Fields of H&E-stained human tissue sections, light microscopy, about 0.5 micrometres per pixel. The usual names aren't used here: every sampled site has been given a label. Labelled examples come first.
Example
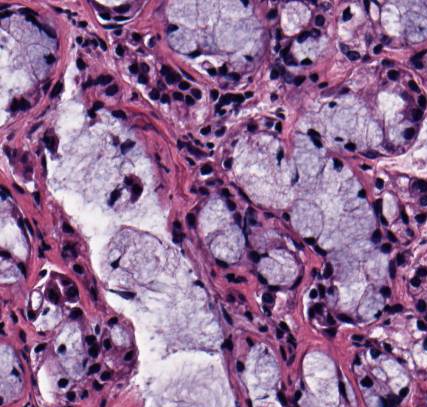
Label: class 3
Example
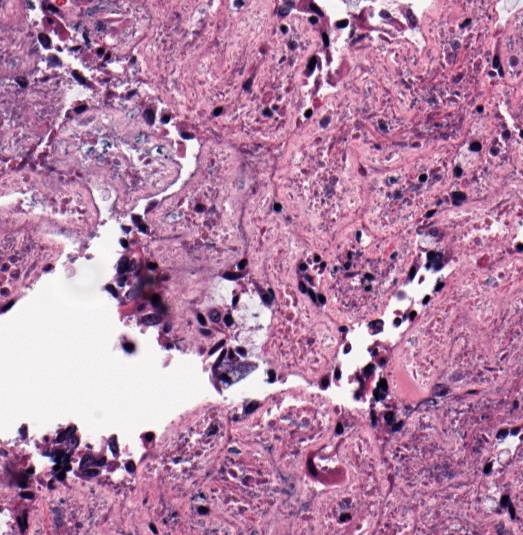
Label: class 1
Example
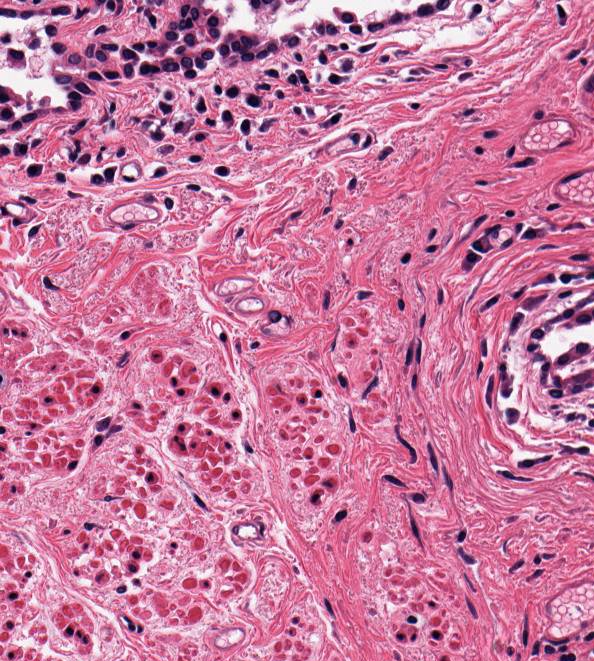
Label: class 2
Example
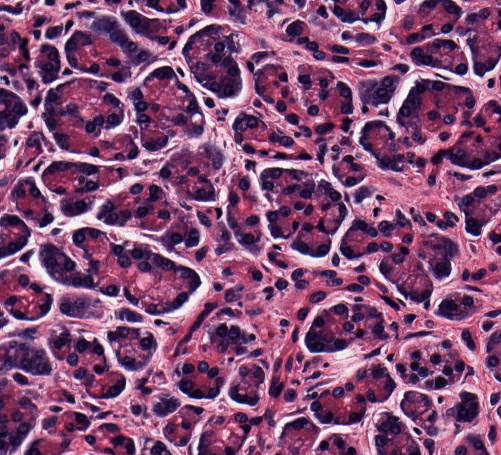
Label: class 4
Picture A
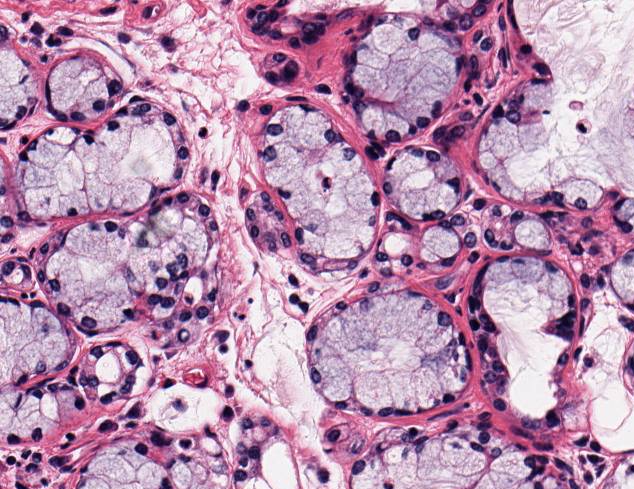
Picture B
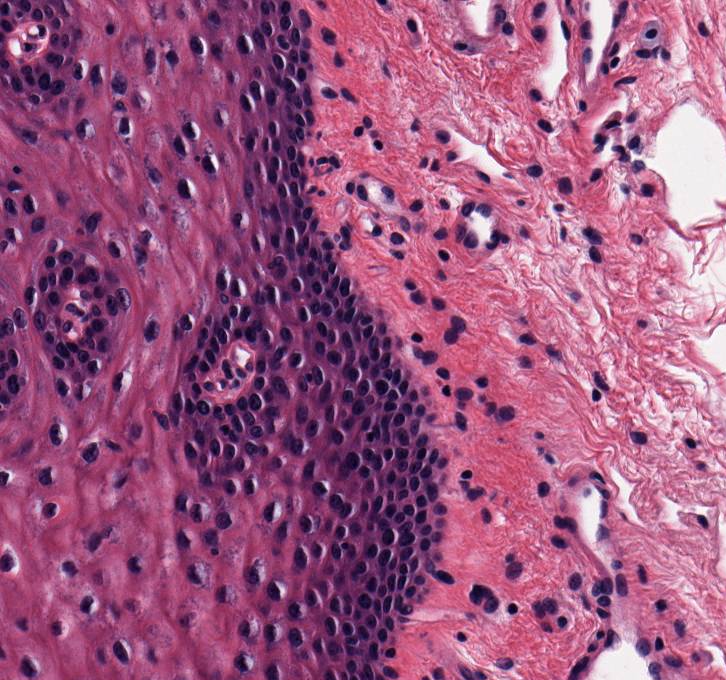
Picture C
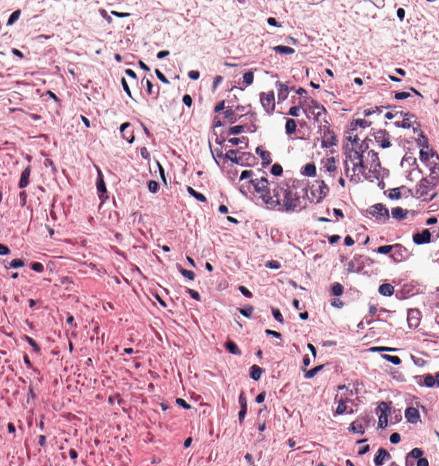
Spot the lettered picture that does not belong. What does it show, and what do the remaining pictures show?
A (class 3) is the exception; every other picture is class 2.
